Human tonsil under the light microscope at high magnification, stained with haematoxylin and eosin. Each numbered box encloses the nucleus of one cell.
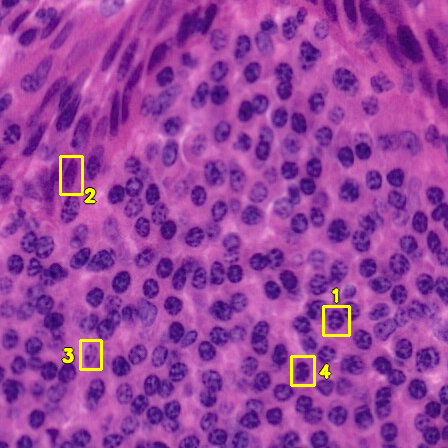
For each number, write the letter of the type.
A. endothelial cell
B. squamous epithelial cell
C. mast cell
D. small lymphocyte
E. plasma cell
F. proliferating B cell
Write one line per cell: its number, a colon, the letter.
1: E
2: B
3: E
4: E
